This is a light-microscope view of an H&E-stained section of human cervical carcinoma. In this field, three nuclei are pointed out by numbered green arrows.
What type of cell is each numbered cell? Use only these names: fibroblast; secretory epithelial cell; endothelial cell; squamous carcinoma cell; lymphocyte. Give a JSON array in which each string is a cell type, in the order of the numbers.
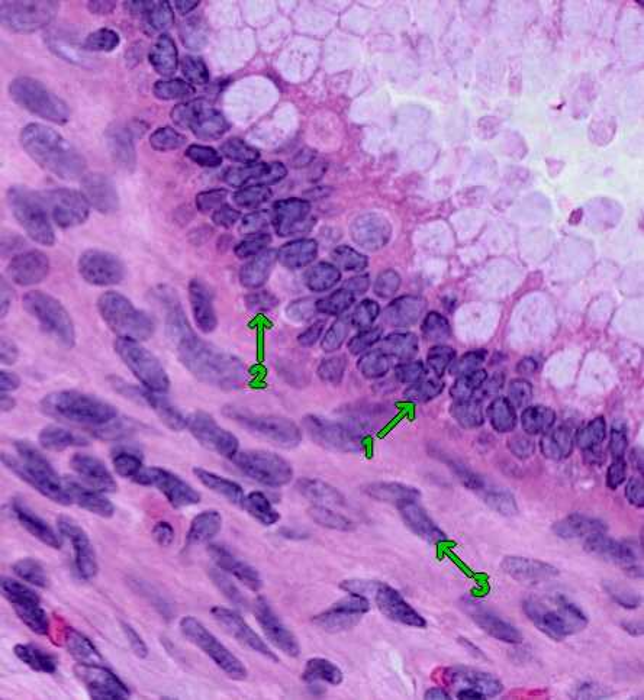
["secretory epithelial cell", "secretory epithelial cell", "fibroblast"]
